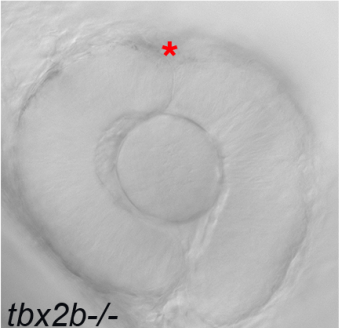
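The retina is finely striated, its cells packed in columns that radiate toward the lens. A thin line of darker tissue outlines the outer edge of the eye cup.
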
